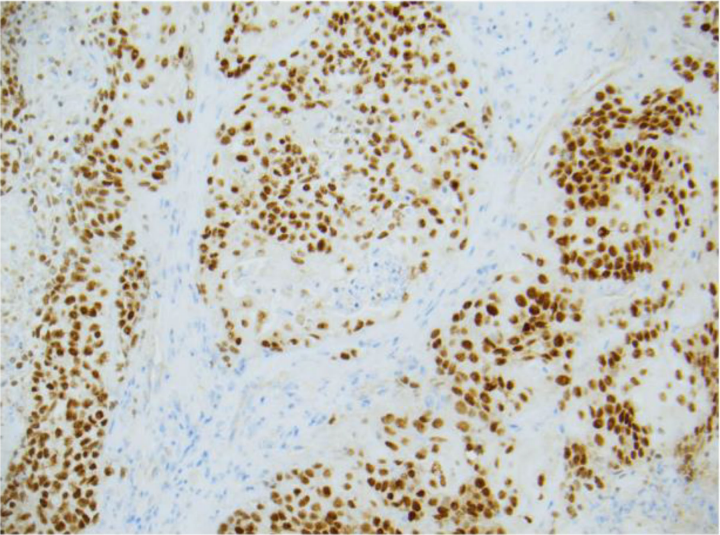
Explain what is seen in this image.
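These are nests of tumor cells lying in a pale fibrous stroma. Nearly every tumor cell has a round to oval nucleus stained dark brown, crowded closely together. The thin spindle-shaped stromal cells between the nests have only blue, unstained nuclei.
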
